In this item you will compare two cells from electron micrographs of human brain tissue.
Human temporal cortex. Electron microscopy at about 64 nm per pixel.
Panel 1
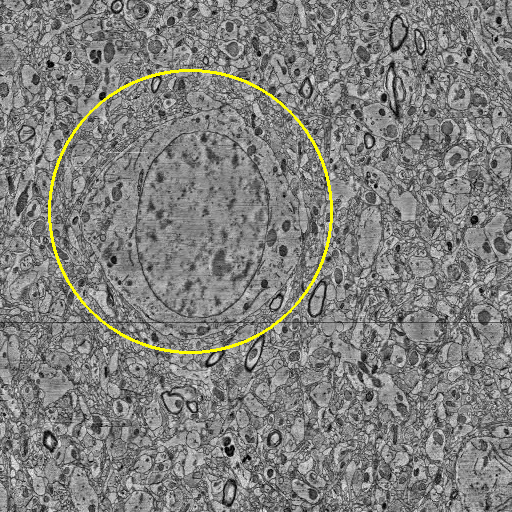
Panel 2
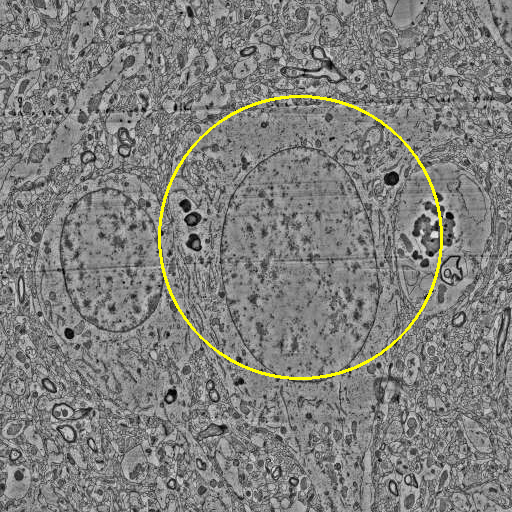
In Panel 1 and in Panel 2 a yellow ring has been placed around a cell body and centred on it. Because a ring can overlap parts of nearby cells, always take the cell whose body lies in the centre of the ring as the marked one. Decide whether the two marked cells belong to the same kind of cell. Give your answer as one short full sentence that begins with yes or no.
Yes, the two marked cells belong to the same kind of cell.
